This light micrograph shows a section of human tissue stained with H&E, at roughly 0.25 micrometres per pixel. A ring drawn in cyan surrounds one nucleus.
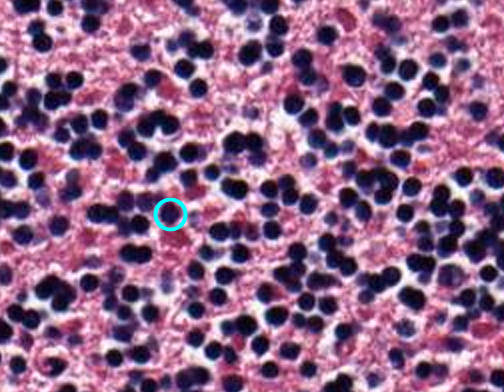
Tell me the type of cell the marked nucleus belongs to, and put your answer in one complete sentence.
The marked nucleus is a nucleus of a cerebellar granule cell.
